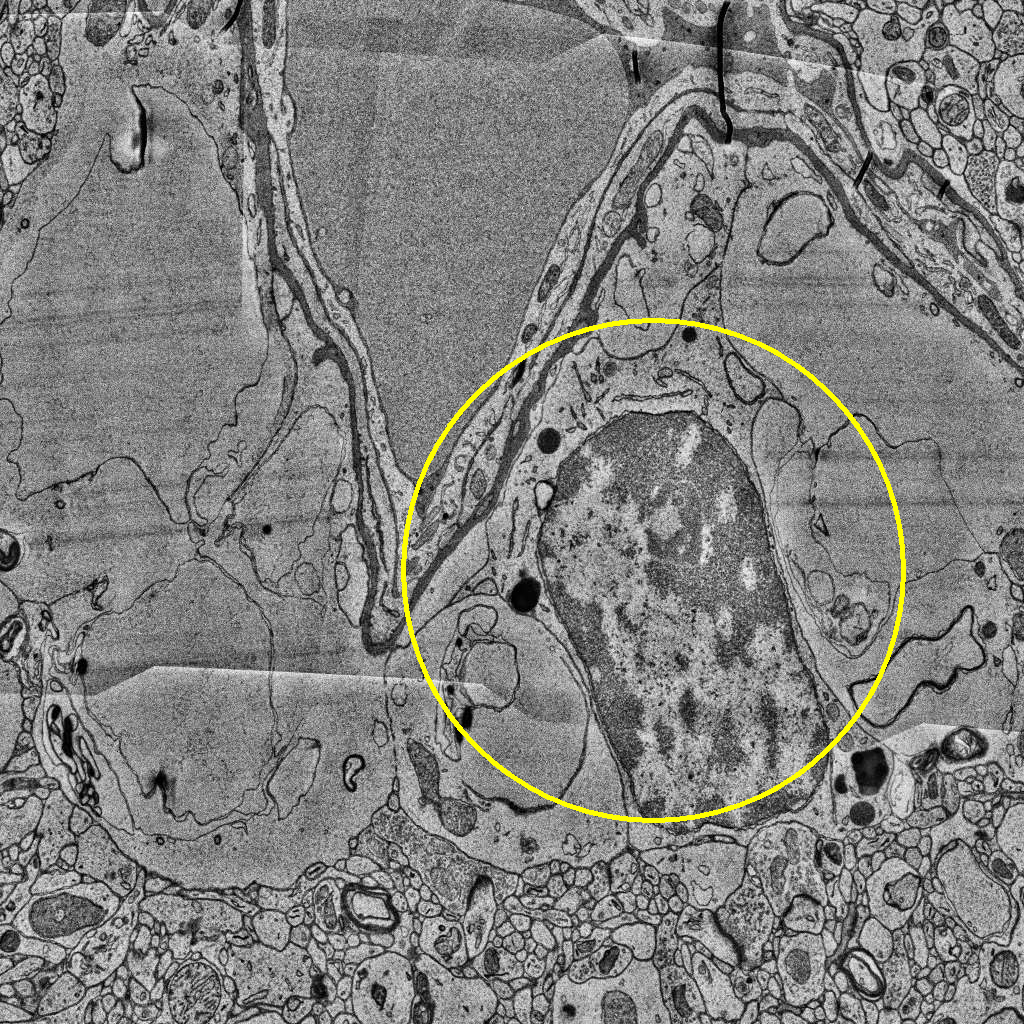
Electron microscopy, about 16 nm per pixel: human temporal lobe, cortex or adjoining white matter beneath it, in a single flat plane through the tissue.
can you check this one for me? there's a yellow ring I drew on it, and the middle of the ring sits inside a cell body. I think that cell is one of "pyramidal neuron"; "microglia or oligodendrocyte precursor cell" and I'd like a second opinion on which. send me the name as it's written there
microglia or oligodendrocyte precursor cell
